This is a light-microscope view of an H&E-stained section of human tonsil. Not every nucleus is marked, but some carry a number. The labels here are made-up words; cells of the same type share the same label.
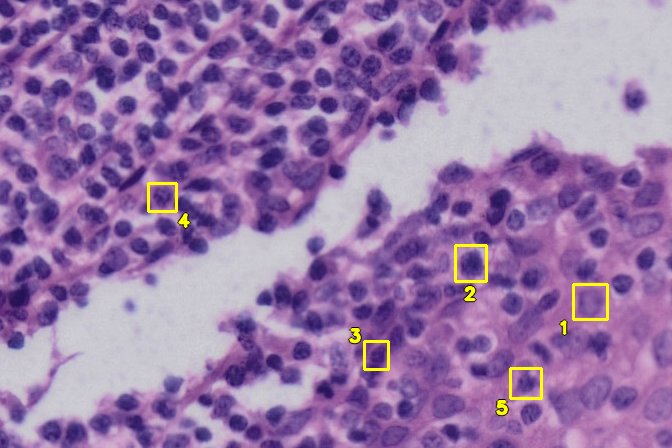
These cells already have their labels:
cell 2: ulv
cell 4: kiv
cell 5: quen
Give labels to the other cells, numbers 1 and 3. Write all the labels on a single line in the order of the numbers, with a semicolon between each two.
quen; quen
